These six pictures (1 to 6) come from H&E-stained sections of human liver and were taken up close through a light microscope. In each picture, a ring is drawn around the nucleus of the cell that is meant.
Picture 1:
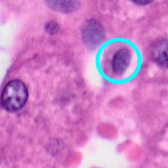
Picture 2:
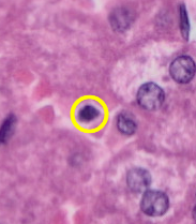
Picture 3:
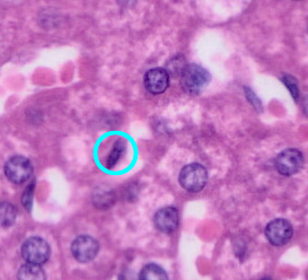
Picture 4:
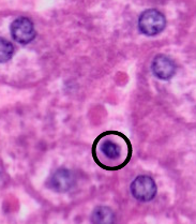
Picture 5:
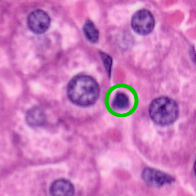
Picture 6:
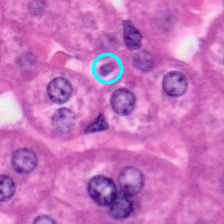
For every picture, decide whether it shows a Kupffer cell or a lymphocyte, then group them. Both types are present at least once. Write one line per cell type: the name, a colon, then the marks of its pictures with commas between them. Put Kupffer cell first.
Kupffer cell: 1, 3
lymphocyte: 2, 4, 5, 6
